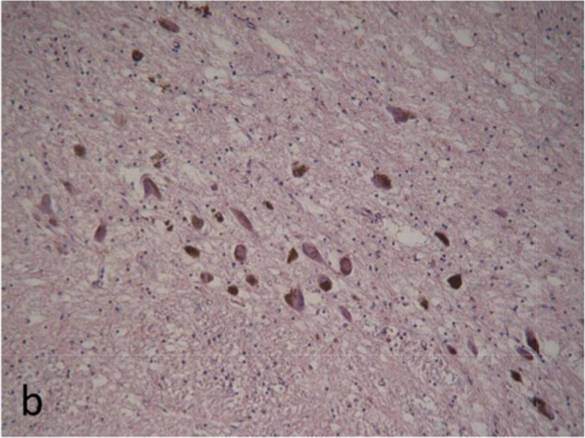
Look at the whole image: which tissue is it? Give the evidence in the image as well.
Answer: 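Large angular neurons contain brown granular pigment in their cytoplasm. The neurons are scattered in a pink fibrillary neuropil. The answer: substantia nigra.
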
